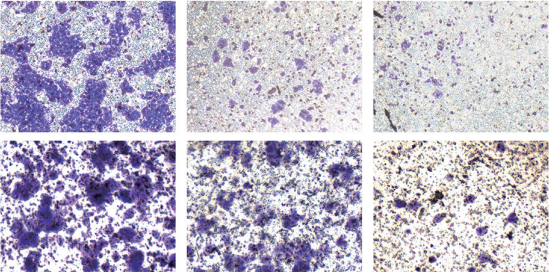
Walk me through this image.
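In the left column the purple cells are dense and form large confluent patches that cover much of the field. The lower row shows more dark debris-like particles among the cells than the upper row.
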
